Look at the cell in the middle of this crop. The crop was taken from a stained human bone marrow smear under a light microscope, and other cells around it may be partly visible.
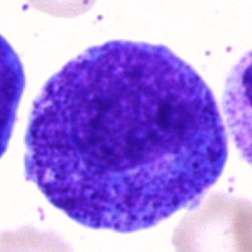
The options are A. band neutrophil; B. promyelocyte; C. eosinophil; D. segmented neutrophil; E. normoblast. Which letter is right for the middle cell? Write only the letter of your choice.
B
